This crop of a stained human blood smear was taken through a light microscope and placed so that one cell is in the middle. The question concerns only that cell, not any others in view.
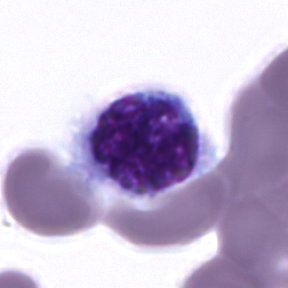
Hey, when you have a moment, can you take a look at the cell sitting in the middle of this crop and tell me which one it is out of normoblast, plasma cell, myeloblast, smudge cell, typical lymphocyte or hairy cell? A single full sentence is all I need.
The cell under consideration, at the middle of the crop, is a plasma cell.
